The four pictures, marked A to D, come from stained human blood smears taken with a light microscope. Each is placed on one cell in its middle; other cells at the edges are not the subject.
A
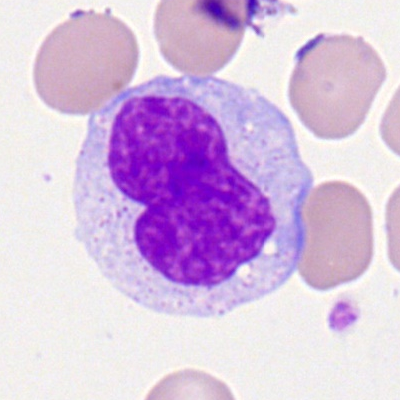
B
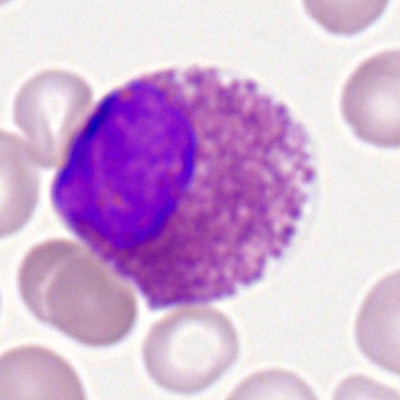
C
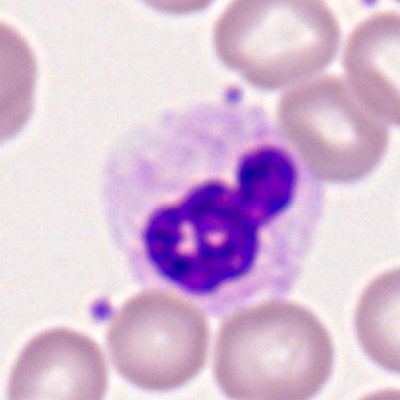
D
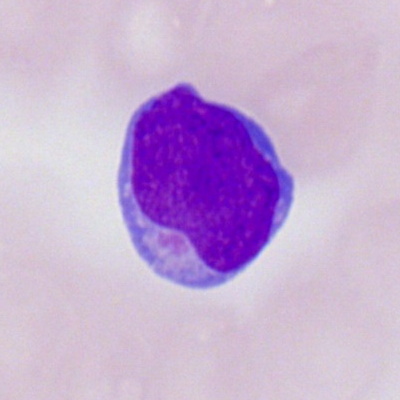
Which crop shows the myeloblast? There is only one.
D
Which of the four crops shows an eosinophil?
B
